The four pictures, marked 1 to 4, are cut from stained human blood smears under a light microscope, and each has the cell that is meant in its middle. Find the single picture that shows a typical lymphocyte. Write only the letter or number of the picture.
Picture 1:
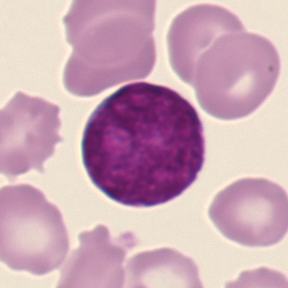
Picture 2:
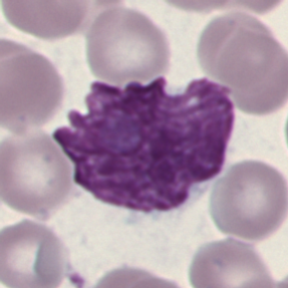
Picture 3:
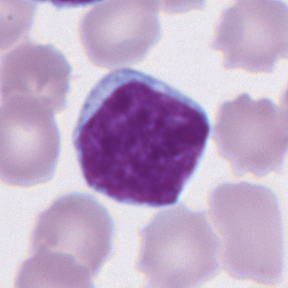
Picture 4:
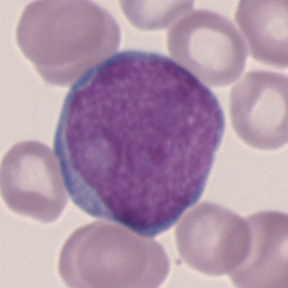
3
